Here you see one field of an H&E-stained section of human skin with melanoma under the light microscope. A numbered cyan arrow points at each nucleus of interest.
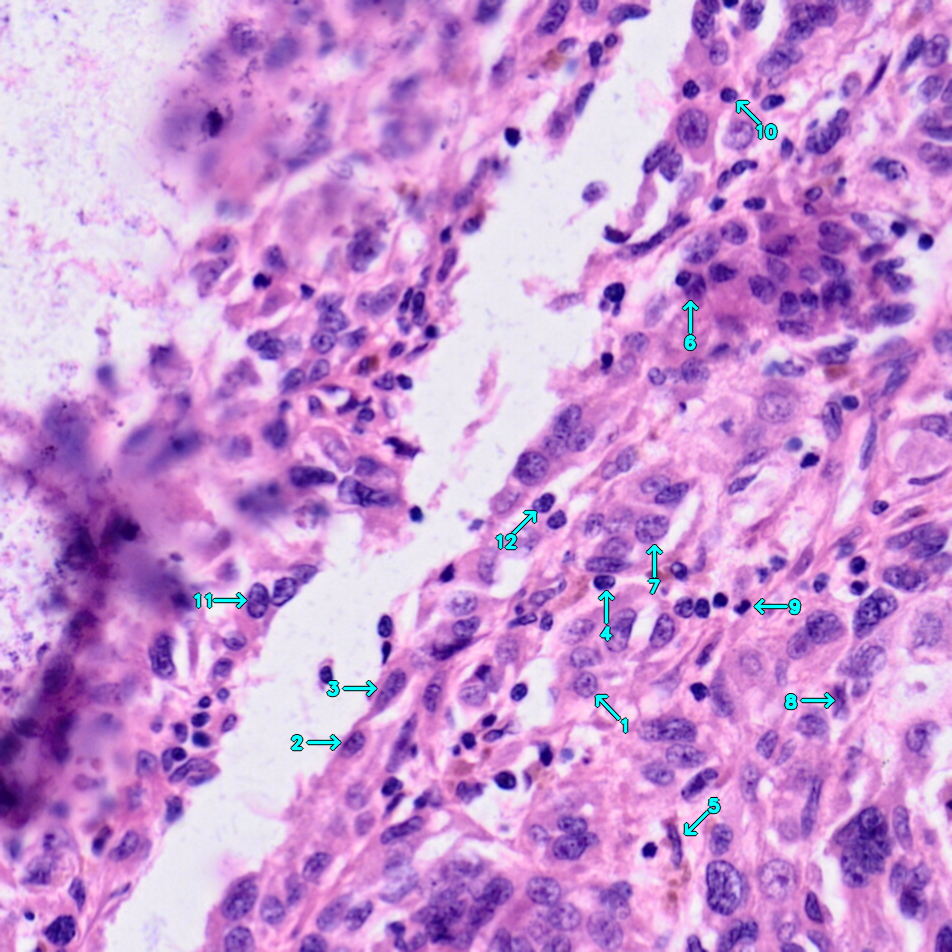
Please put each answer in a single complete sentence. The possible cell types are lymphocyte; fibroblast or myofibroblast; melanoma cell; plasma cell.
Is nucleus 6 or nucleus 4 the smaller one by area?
Nucleus 4 covers less area, with nucleus 6 about 2 times as large.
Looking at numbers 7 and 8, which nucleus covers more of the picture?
It is nucleus 7, which covers about 2 times the area of nucleus 8.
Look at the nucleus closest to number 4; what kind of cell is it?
Closest to number 4 lies the nucleus of a melanoma cell.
